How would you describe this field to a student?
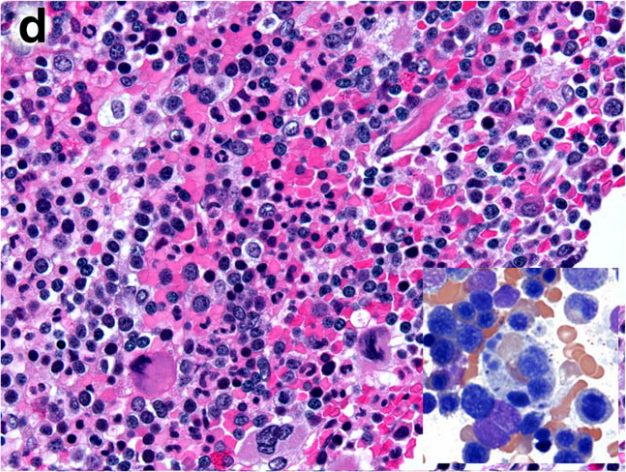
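The marrow is densely packed with small round cells with dark, round nuclei, lying in clusters among many red blood cells. Scattered among them are a few much larger cells with large lobed nuclei. The inset smear shows a large cell with pale cytoplasm holding engulfed red blood cells.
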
